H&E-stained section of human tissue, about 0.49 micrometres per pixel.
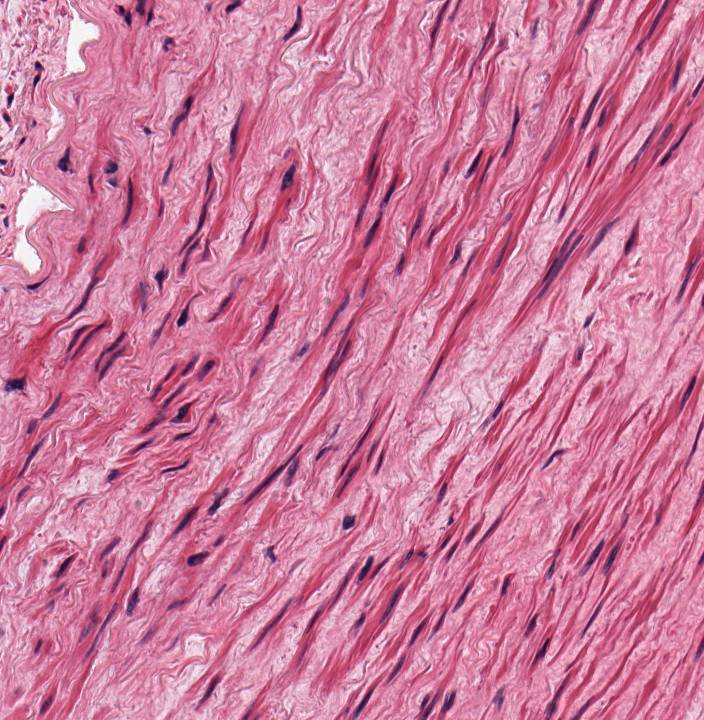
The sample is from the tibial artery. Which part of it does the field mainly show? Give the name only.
tunica media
